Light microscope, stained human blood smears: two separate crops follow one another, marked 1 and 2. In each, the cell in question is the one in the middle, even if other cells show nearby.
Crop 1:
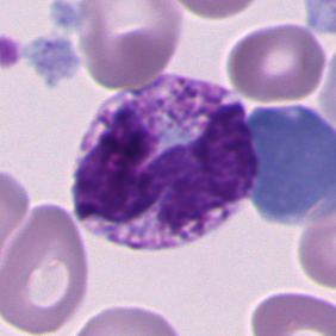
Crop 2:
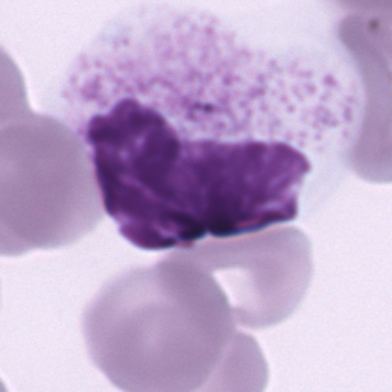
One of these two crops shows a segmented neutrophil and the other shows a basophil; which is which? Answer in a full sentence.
Crop 1 is a basophil, while a segmented neutrophil is the cell in crop 2.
